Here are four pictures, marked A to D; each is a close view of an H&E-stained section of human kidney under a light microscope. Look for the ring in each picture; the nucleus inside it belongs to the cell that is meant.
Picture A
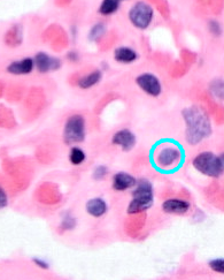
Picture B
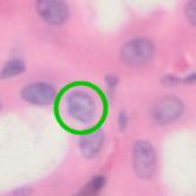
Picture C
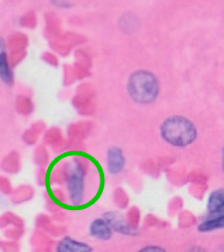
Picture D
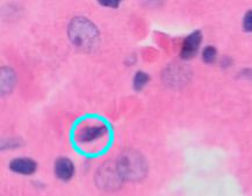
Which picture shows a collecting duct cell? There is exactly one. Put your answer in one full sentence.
Picture B shows the collecting duct cell.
